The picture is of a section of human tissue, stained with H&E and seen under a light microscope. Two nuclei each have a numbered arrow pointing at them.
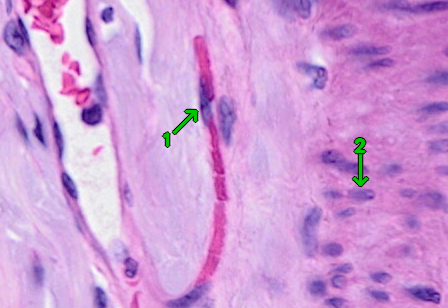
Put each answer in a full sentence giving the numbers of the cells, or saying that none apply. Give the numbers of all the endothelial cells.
A single numbered cell, cell 1, is an endothelial cell.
